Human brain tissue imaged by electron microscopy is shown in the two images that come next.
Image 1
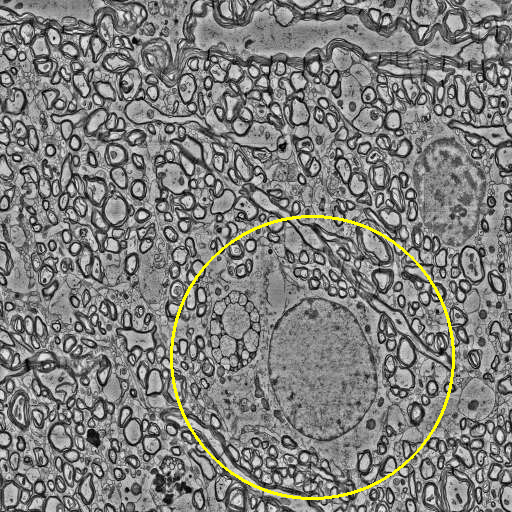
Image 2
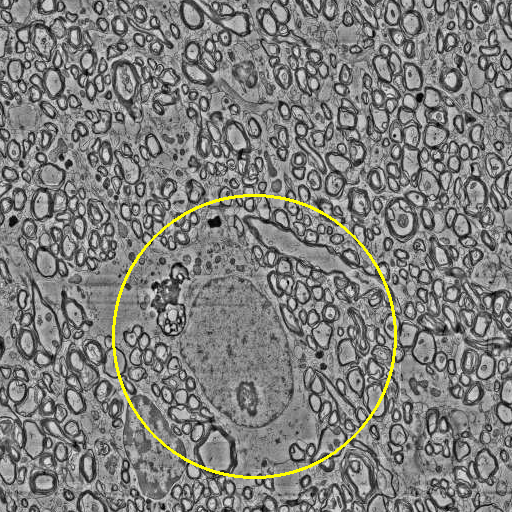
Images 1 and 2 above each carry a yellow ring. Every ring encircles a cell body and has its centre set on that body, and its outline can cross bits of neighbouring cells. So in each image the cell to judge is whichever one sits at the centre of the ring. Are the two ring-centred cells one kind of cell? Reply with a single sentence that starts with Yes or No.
Yes, in Image 1 and Image 2 the cells at the centres of their rings fall into one type.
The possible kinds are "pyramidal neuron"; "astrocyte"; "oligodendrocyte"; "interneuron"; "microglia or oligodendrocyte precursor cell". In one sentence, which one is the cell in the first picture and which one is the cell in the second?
The second cell is an astrocyte, just as the first is.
